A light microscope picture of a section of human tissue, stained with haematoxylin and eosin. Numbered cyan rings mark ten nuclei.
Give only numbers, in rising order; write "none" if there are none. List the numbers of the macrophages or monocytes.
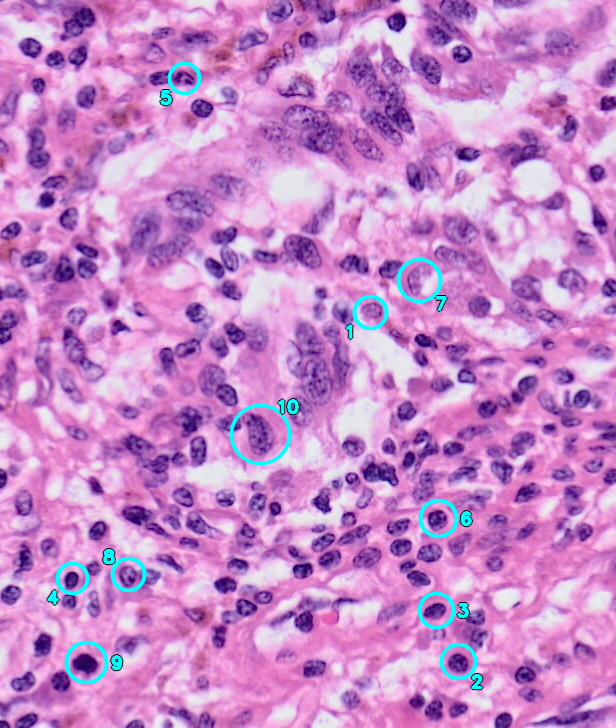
1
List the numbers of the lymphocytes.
3, 4, 6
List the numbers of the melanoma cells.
7, 10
